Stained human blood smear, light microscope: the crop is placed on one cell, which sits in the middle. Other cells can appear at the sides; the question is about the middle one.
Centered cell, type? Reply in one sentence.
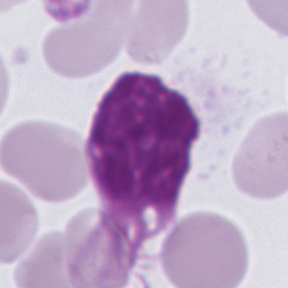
In this smear crop, the middle cell is a smudge cell.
